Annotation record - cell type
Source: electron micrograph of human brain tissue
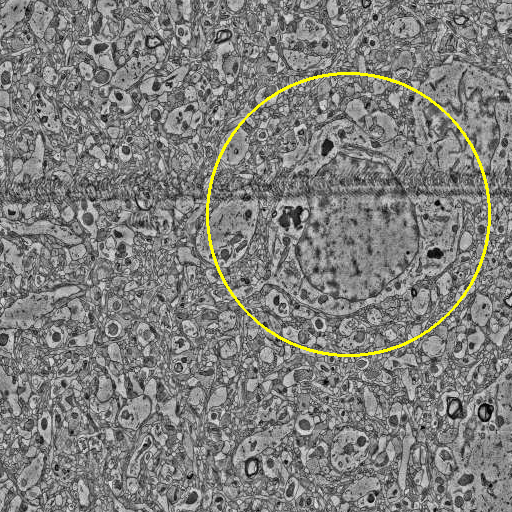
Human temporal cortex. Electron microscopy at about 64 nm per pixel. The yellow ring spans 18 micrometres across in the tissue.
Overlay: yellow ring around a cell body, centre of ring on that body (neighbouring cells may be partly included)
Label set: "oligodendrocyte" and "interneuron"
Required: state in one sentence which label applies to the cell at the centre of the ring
This cell should be labelled as an interneuron.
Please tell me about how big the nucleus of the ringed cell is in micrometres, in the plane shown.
In this plane, the nucleus of the cell at the centre of the ring measures about 10 by 8 micrometres.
